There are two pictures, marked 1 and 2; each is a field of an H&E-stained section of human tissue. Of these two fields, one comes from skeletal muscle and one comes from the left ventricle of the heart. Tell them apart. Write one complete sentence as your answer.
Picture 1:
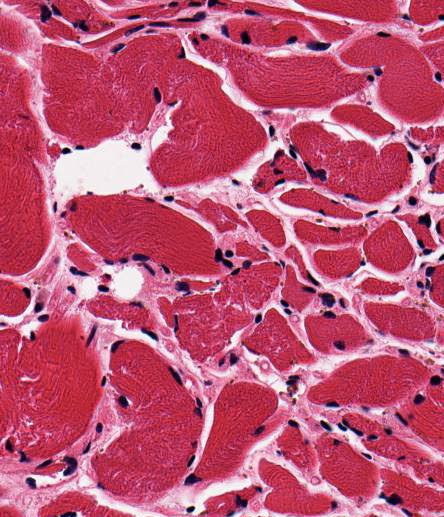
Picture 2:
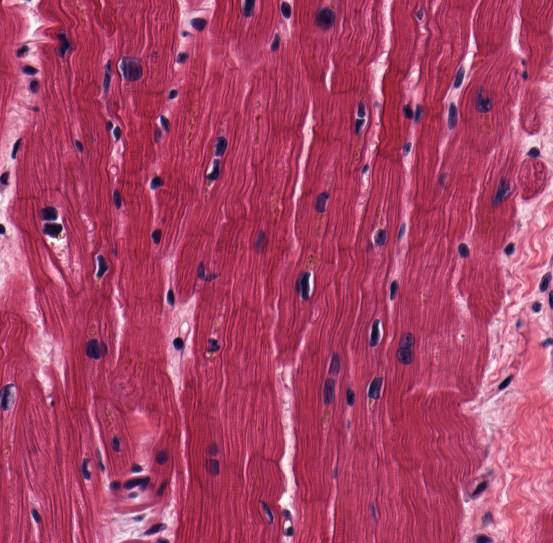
Picture 2 comes from the left ventricle of the heart, while picture 1 comes from skeletal muscle.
